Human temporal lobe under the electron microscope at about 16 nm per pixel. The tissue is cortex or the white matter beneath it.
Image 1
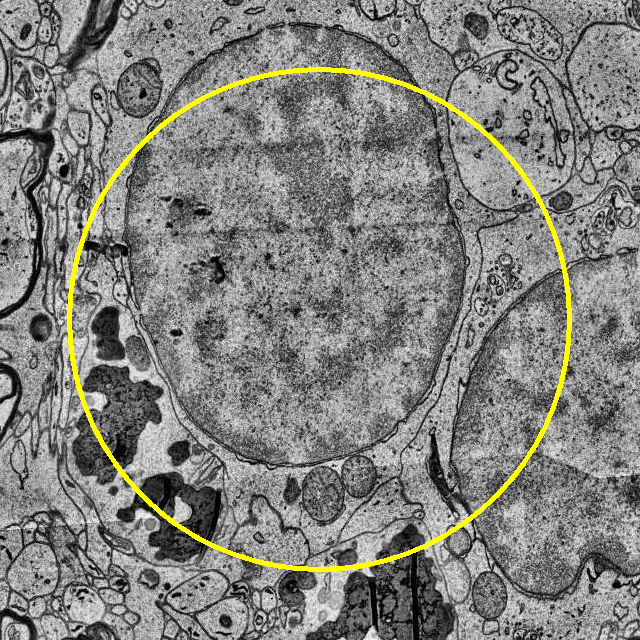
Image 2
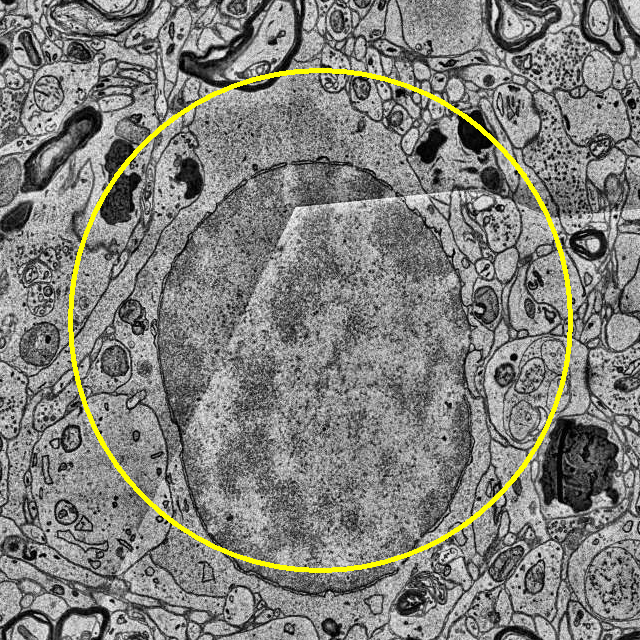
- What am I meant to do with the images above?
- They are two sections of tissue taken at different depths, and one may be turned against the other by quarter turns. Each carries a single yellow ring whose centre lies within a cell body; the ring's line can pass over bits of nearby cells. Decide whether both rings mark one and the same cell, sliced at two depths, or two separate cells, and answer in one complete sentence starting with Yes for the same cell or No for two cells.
Yes, the same cell appears within both yellow rings.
